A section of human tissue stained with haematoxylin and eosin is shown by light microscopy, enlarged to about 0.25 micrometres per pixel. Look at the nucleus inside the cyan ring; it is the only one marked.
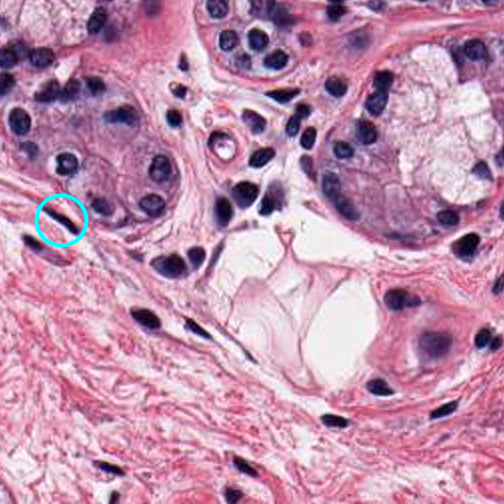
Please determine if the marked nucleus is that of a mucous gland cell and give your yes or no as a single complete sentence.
No, the cell whose nucleus is marked is a supporting cell and not a mucous gland cell.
